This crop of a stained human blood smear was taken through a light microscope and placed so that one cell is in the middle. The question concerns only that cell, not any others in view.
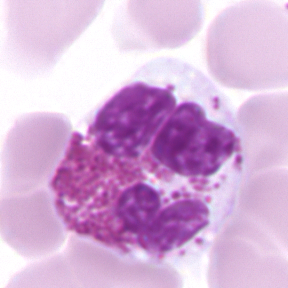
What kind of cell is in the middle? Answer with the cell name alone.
eosinophil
